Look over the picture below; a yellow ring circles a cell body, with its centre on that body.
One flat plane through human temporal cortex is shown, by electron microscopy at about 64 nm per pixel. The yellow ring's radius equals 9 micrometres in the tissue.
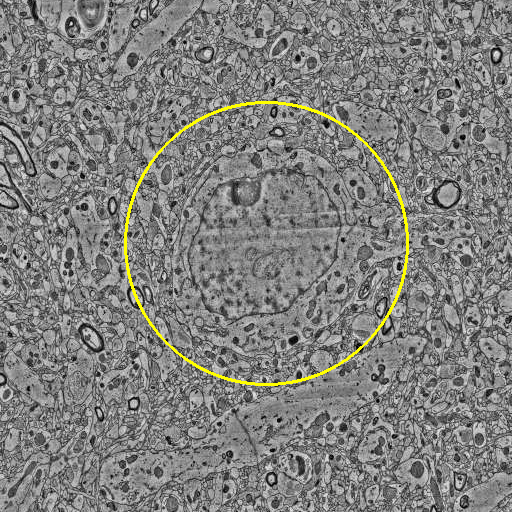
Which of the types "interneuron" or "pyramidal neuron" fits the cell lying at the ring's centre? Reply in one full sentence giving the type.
The picture shows an interneuron at the centre of the yellow ring.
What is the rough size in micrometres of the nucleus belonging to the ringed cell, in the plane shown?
Roughly 11 by 9 micrometres is the size of the nucleus in this plane.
